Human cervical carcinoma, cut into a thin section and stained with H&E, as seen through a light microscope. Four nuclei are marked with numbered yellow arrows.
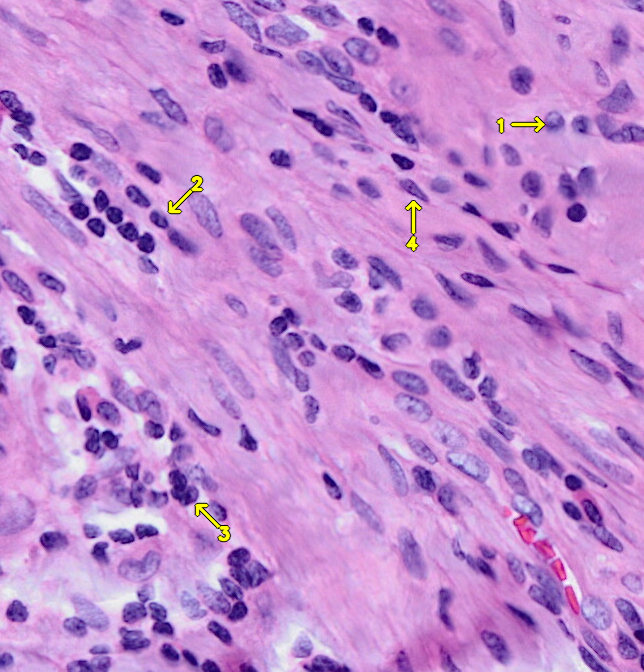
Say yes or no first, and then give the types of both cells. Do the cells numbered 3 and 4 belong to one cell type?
No, cell 3 is a lymphocyte and cell 4 is a fibroblast.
